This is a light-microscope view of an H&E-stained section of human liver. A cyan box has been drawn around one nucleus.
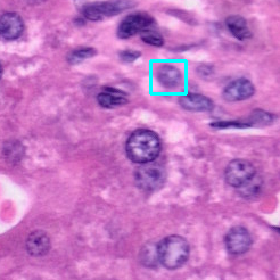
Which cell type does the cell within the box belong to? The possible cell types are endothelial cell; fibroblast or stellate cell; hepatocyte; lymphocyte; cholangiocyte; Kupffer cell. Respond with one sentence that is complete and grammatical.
As a matter of cell type, the cell within the box is a cholangiocyte.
